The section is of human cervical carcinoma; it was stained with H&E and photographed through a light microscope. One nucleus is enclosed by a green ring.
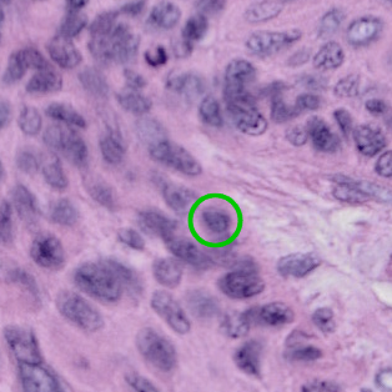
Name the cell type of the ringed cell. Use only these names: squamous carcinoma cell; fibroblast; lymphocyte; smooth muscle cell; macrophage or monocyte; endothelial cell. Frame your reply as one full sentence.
In terms of identity, the ringed cell is a squamous carcinoma cell.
